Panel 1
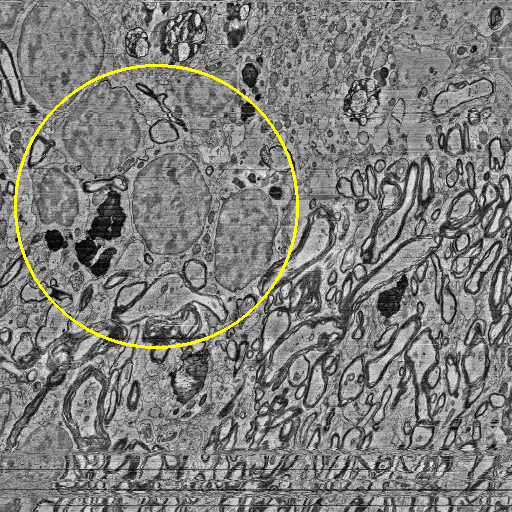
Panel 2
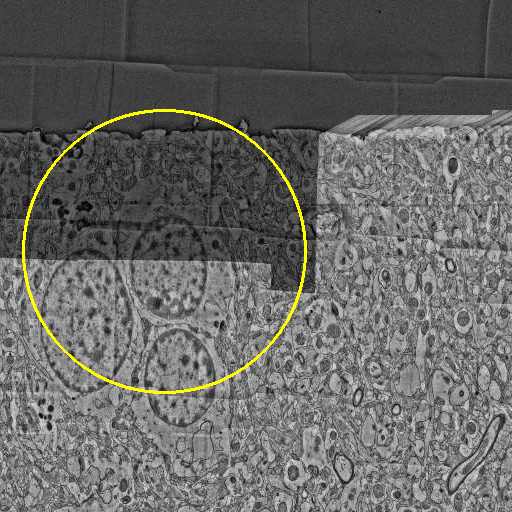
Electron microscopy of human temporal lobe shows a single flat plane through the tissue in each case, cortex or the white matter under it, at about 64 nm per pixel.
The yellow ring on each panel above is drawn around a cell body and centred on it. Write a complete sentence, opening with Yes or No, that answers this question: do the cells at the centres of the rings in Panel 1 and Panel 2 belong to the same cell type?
No, the two cells belong to two cell types.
